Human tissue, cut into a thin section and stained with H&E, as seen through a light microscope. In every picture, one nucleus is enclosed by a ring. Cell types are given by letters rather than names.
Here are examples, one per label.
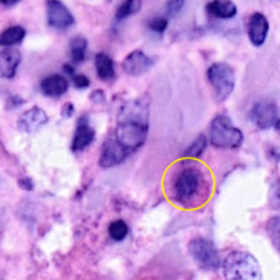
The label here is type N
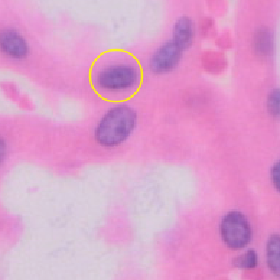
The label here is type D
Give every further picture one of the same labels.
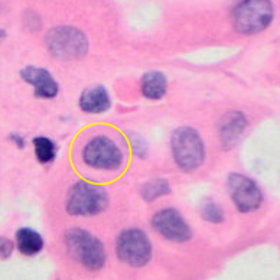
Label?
type D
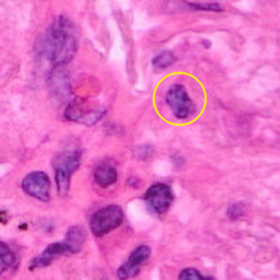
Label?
type N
